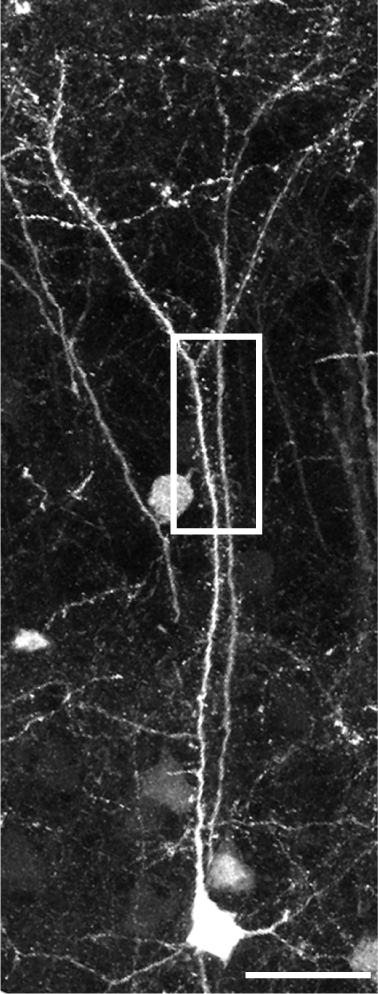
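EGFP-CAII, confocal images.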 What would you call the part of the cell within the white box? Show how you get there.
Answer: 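Primary apical dendrite. The box encloses a stretch of the long vertical process rising from the cell body. The boxed process is the main trunk leading upward from the soma.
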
